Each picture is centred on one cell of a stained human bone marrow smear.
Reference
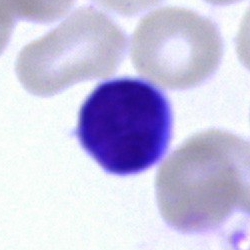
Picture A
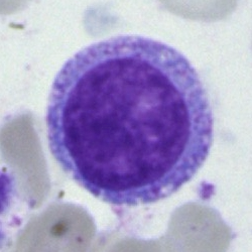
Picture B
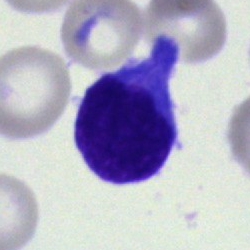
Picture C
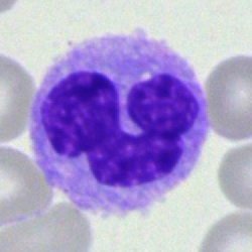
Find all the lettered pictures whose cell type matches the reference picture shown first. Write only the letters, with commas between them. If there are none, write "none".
none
